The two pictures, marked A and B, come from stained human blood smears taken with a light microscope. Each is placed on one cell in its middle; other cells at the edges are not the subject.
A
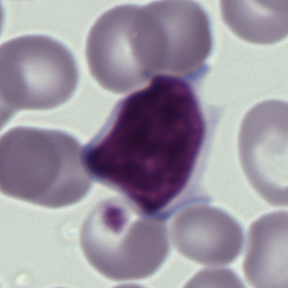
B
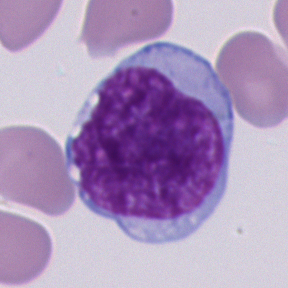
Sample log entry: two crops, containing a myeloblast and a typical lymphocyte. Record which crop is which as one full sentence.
Identification: crop A is a typical lymphocyte; crop B is a myeloblast.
